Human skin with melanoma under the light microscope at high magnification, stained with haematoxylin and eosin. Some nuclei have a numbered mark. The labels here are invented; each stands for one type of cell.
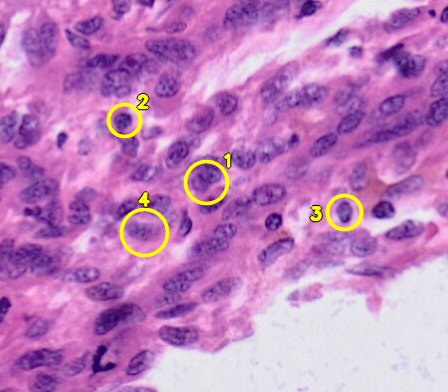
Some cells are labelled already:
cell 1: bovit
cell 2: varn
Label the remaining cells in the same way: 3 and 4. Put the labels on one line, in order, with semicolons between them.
varn; bovit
